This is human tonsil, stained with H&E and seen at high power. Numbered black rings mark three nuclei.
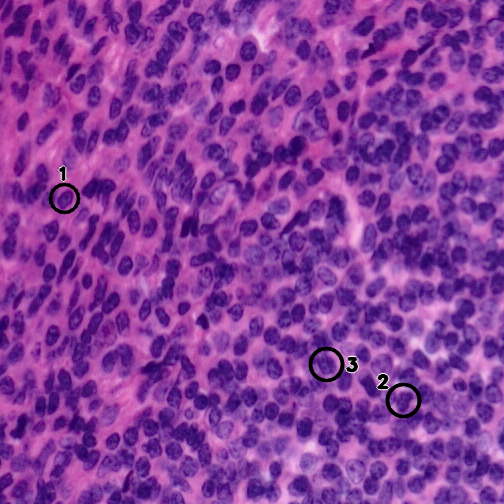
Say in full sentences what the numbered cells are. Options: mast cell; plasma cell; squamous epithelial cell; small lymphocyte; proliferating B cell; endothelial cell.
Cell 1 is a plasma cell. Cells 2 and 3 are small lymphocytes.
